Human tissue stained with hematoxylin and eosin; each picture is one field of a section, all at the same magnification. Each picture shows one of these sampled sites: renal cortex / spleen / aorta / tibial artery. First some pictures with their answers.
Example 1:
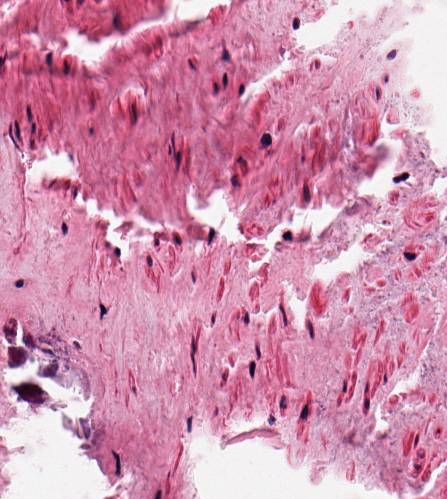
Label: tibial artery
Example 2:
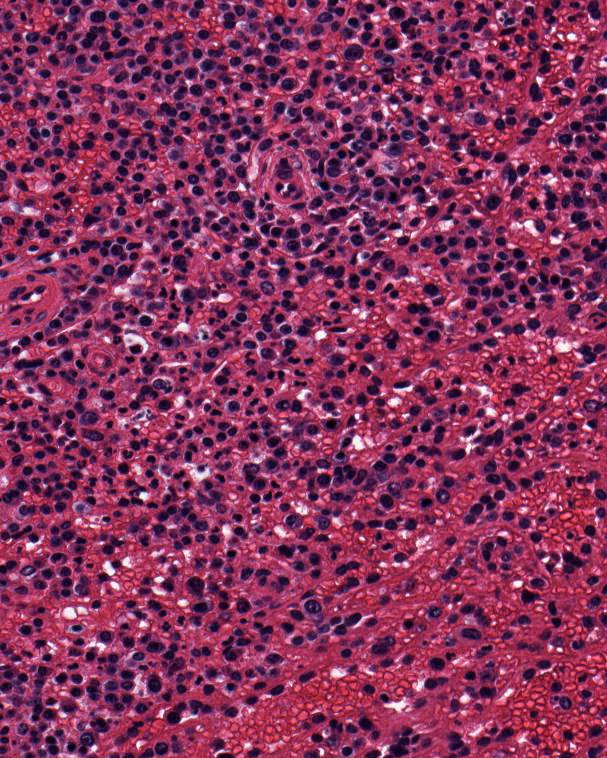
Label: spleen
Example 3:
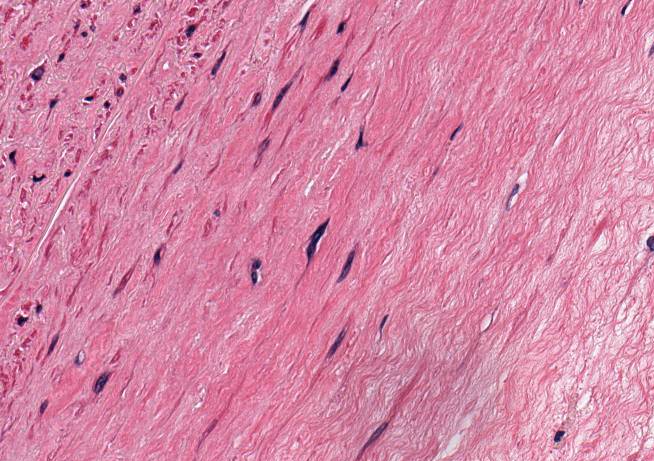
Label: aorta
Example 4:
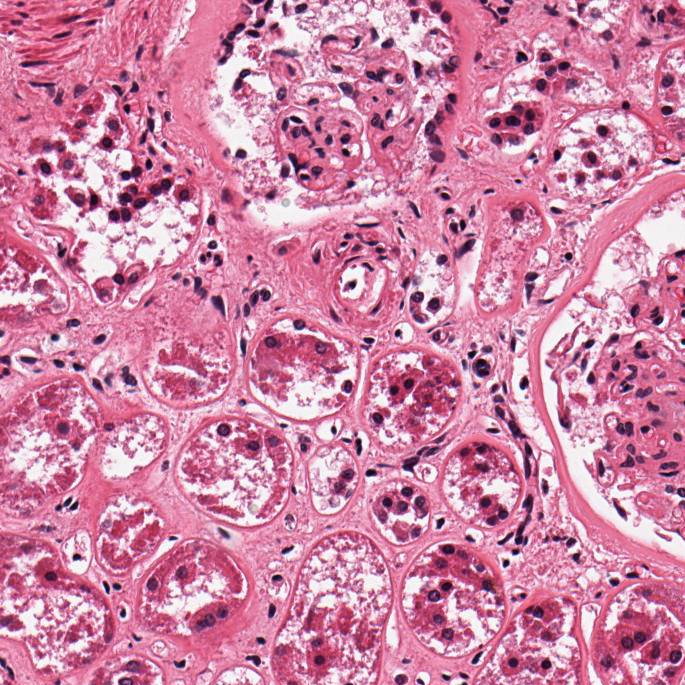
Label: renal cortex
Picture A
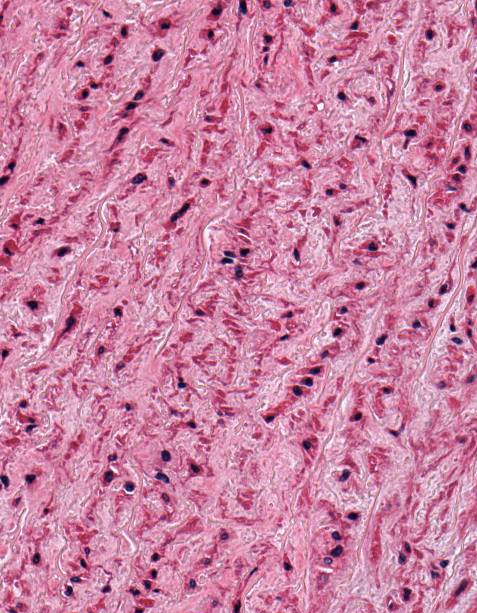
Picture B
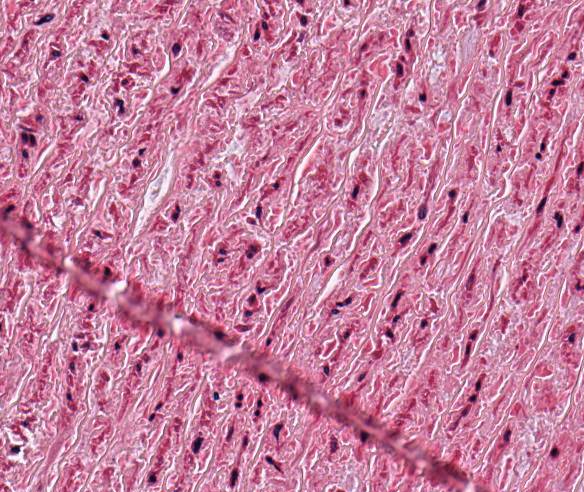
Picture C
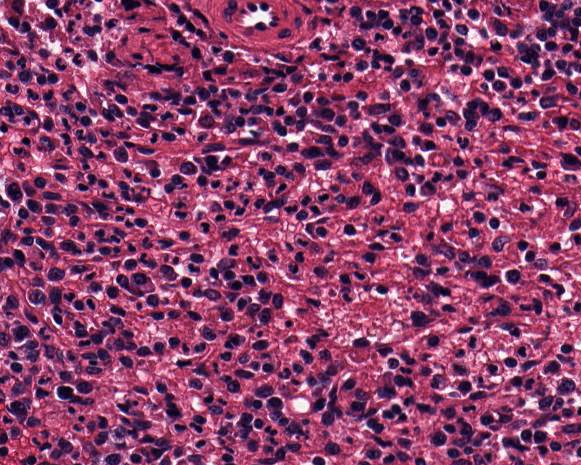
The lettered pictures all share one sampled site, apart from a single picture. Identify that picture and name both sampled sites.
Odd one out: C (spleen). The rest: aorta.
